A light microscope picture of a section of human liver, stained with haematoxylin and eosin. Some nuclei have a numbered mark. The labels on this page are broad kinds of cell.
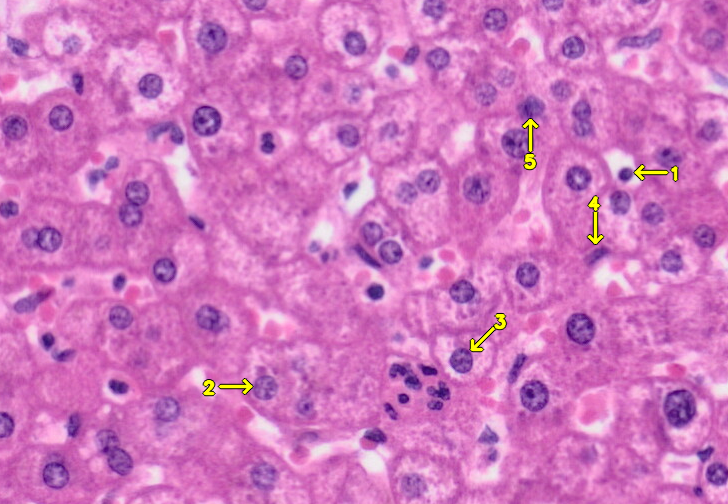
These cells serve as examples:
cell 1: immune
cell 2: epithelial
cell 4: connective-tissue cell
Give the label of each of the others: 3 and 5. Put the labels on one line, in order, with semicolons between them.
epithelial; connective-tissue cell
